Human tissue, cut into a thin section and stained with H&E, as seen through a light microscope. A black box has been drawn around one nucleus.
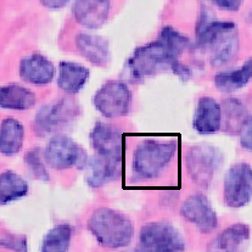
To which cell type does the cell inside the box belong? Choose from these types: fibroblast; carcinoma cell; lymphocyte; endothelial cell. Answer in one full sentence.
In this tissue sample, the cell inside the box is a carcinoma cell.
